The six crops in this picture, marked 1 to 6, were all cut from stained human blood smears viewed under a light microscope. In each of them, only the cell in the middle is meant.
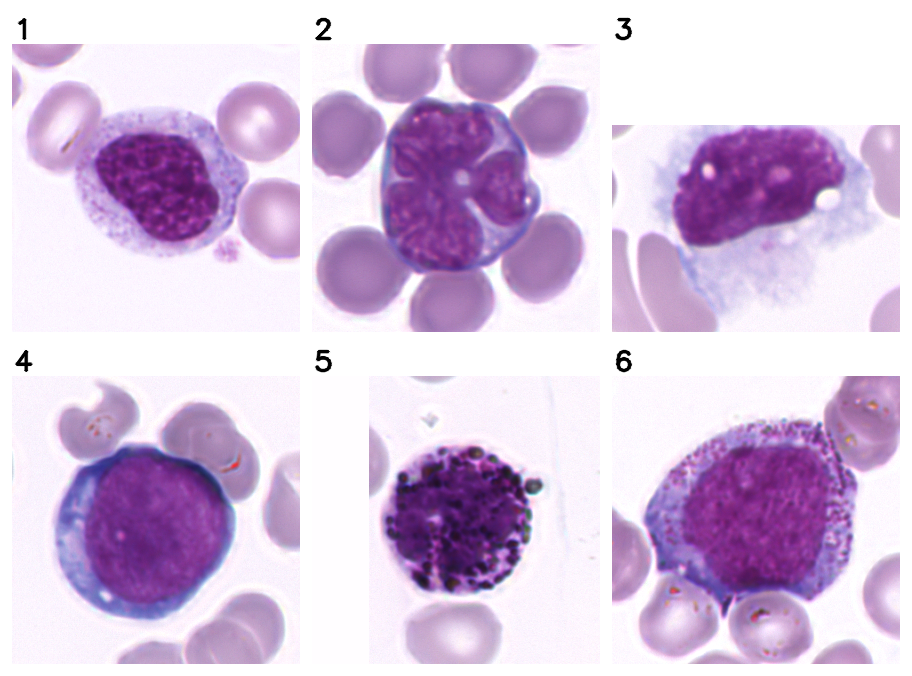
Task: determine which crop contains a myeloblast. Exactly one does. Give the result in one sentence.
It is in crop 4 that a myeloblast is shown.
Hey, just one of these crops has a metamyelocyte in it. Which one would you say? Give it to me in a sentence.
Of all the crops, crop 1 is the one showing a metamyelocyte.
